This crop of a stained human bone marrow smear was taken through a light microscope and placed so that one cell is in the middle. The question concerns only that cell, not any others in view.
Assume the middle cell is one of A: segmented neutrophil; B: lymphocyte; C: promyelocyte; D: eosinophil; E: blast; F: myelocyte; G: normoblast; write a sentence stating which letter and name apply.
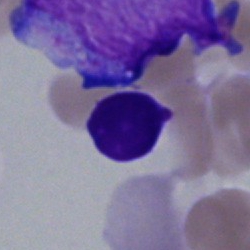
Occupying the middle of the crop is a lymphocyte, hence option B is correct.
